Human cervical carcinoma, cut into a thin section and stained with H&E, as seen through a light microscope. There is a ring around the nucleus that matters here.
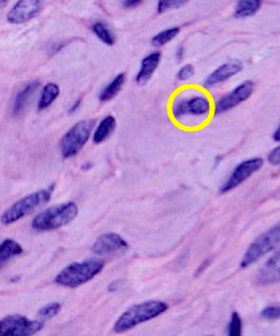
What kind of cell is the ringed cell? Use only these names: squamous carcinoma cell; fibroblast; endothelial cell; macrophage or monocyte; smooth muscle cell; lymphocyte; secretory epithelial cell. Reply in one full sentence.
The classification of the ringed cell is as a fibroblast.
